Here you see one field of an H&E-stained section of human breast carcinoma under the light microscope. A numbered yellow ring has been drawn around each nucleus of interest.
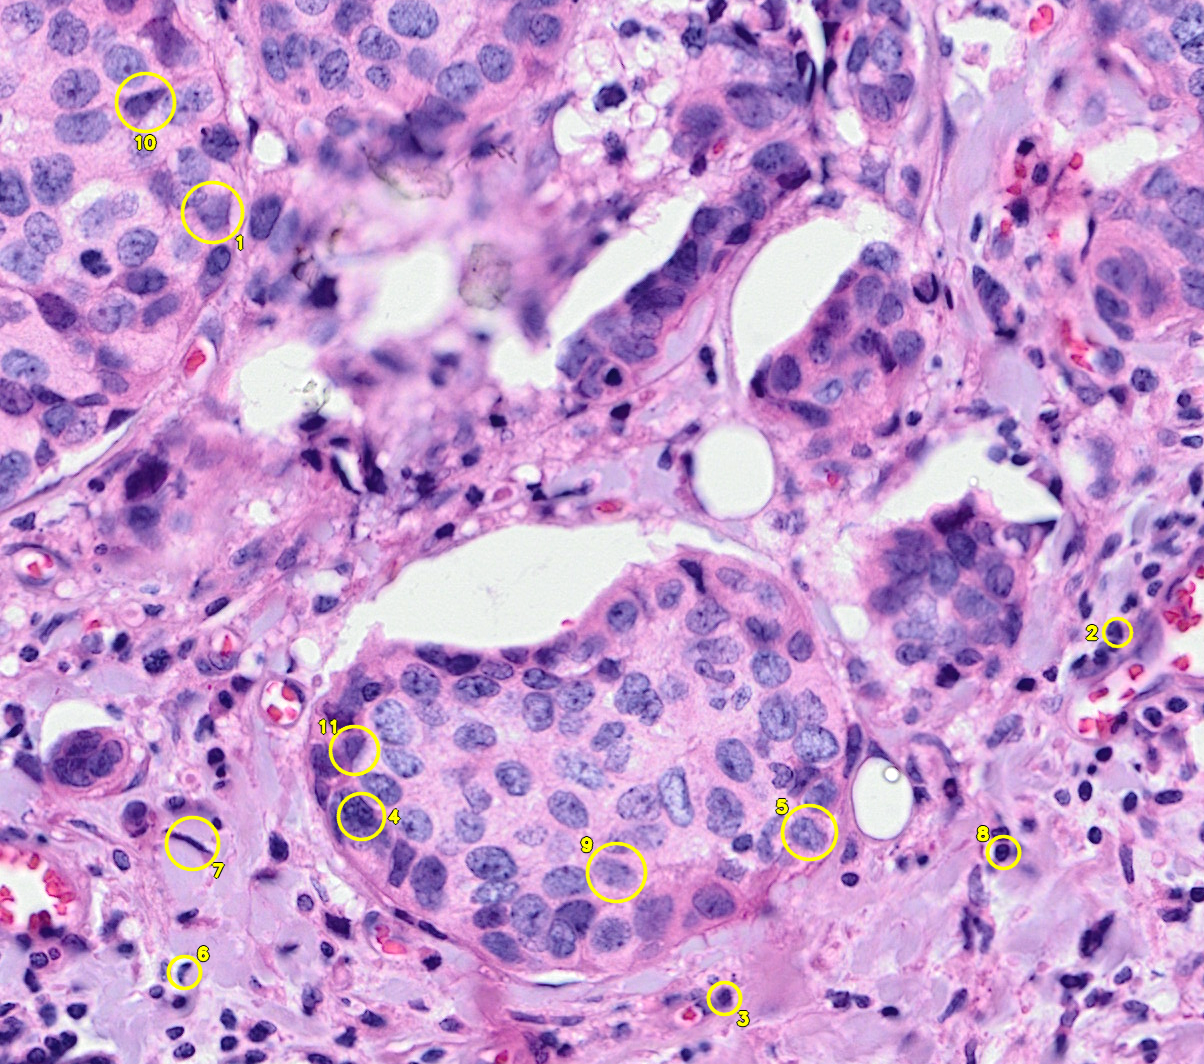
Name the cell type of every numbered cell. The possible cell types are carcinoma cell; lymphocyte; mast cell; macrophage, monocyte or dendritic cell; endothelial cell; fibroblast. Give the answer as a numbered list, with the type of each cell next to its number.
1. carcinoma cell
2. lymphocyte
3. lymphocyte
4. carcinoma cell
5. carcinoma cell
6. lymphocyte
7. fibroblast
8. lymphocyte
9. carcinoma cell
10. carcinoma cell
11. carcinoma cell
